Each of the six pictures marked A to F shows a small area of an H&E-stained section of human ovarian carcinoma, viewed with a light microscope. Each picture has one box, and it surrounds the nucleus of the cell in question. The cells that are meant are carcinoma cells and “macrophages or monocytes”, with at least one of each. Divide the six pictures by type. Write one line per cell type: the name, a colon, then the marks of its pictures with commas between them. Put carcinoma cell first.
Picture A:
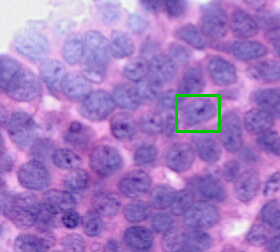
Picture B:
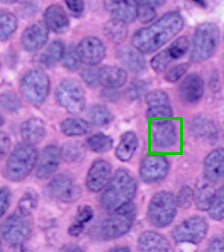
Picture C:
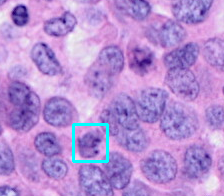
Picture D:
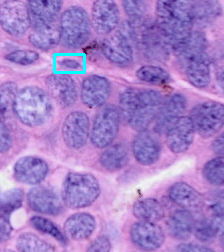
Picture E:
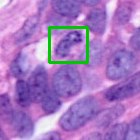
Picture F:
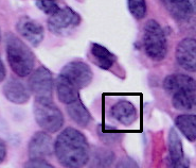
carcinoma cell: A, B
macrophage or monocyte: C, D, E, F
